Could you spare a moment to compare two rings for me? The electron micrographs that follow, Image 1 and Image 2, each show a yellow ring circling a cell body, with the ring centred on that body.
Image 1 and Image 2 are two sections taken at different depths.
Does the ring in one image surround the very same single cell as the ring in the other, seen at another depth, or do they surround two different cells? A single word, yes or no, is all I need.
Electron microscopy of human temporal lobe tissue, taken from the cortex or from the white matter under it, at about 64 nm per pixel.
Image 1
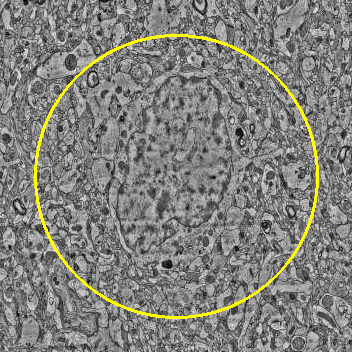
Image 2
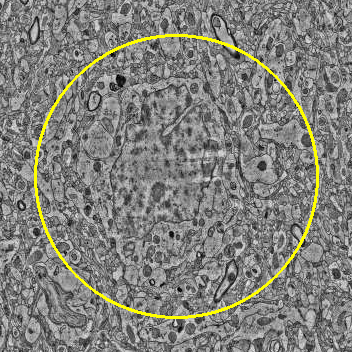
yes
